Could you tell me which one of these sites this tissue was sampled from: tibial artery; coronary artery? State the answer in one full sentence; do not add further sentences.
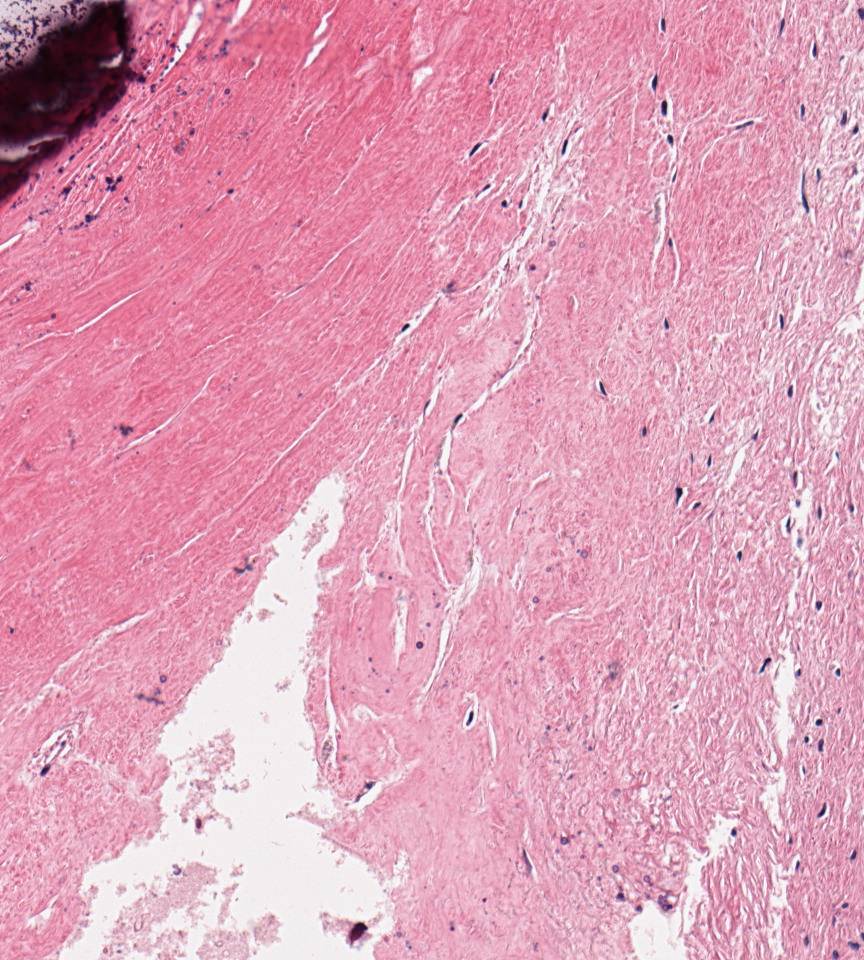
The specimen was sampled from the coronary artery.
